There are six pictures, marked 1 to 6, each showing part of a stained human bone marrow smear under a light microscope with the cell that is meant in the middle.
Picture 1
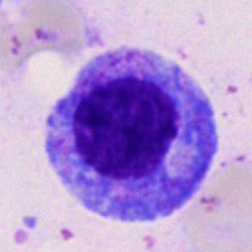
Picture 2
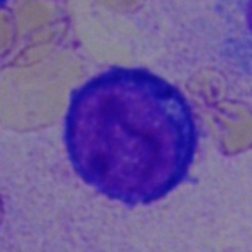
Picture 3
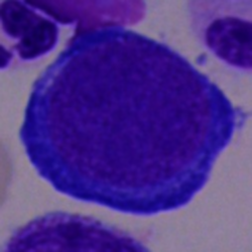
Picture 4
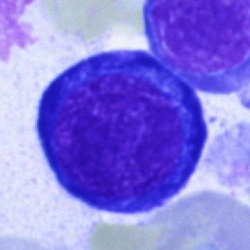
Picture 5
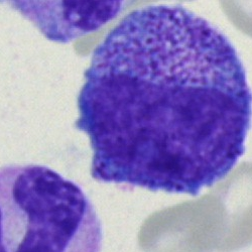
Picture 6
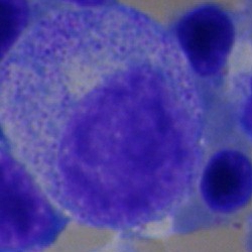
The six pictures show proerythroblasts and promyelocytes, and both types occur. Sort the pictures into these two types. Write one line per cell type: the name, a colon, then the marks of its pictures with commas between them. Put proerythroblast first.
proerythroblast: 2, 3, 4
promyelocyte: 1, 5, 6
